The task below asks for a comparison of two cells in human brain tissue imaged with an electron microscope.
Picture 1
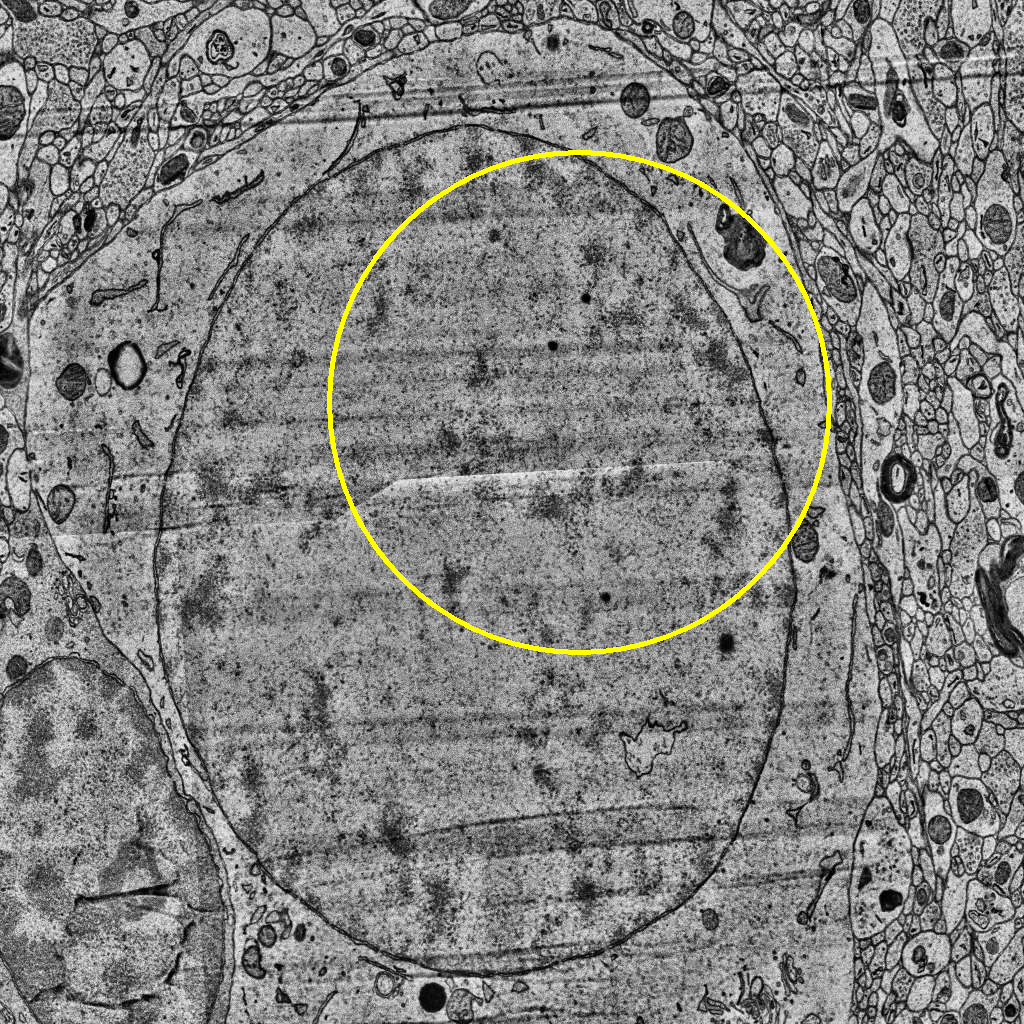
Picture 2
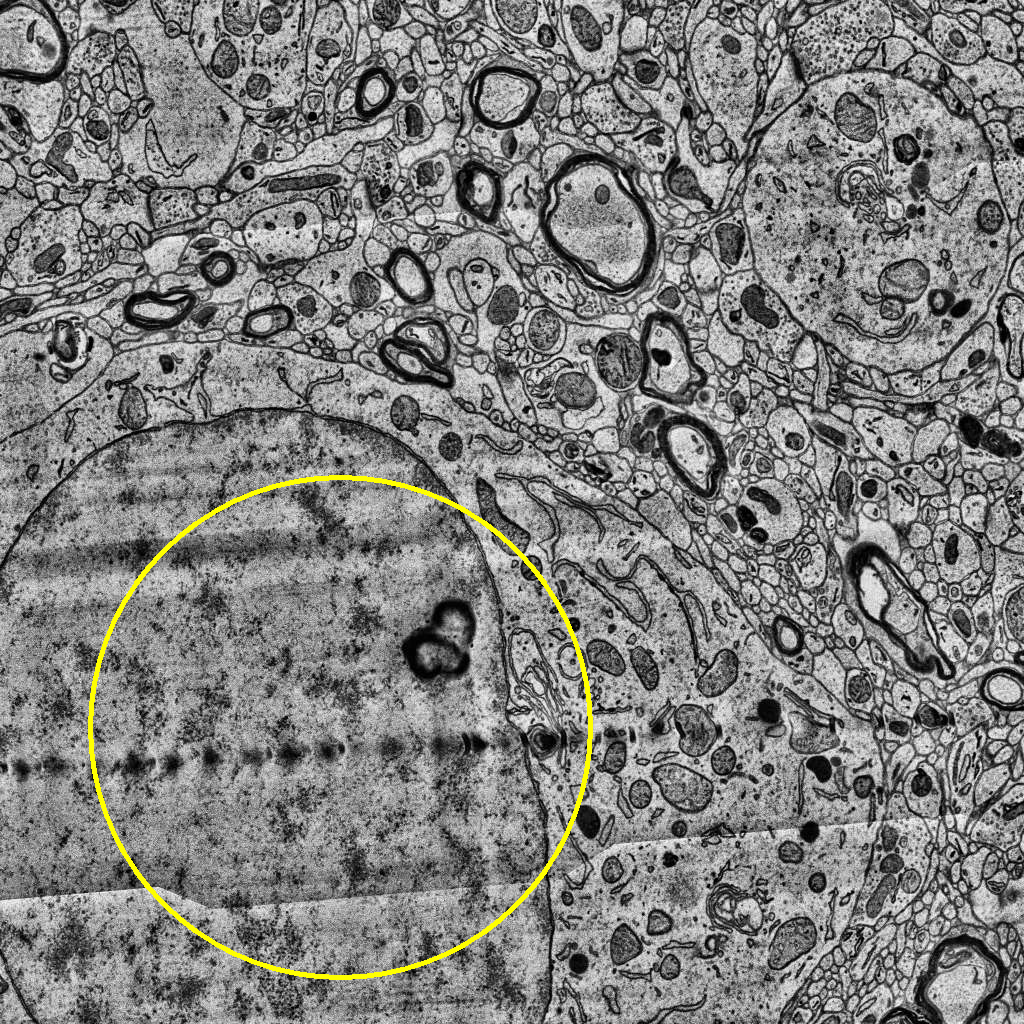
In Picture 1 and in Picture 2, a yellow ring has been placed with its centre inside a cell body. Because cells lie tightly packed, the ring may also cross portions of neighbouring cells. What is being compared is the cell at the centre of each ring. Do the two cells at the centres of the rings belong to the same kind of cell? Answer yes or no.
yes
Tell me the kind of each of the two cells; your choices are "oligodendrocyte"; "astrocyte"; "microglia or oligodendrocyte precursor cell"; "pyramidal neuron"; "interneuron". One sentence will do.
The second cell is a pyramidal neuron, just as the first is.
